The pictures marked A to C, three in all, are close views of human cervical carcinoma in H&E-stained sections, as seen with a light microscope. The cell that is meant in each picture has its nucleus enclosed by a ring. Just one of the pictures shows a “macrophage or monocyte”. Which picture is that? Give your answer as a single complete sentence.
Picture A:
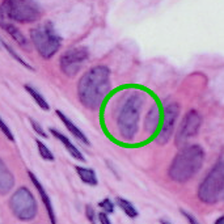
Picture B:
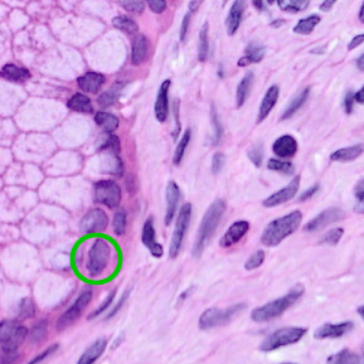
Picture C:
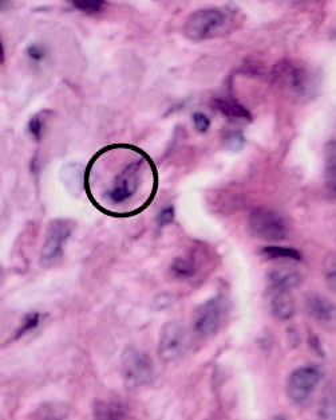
Picture C is the one that shows the “macrophage or monocyte”.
